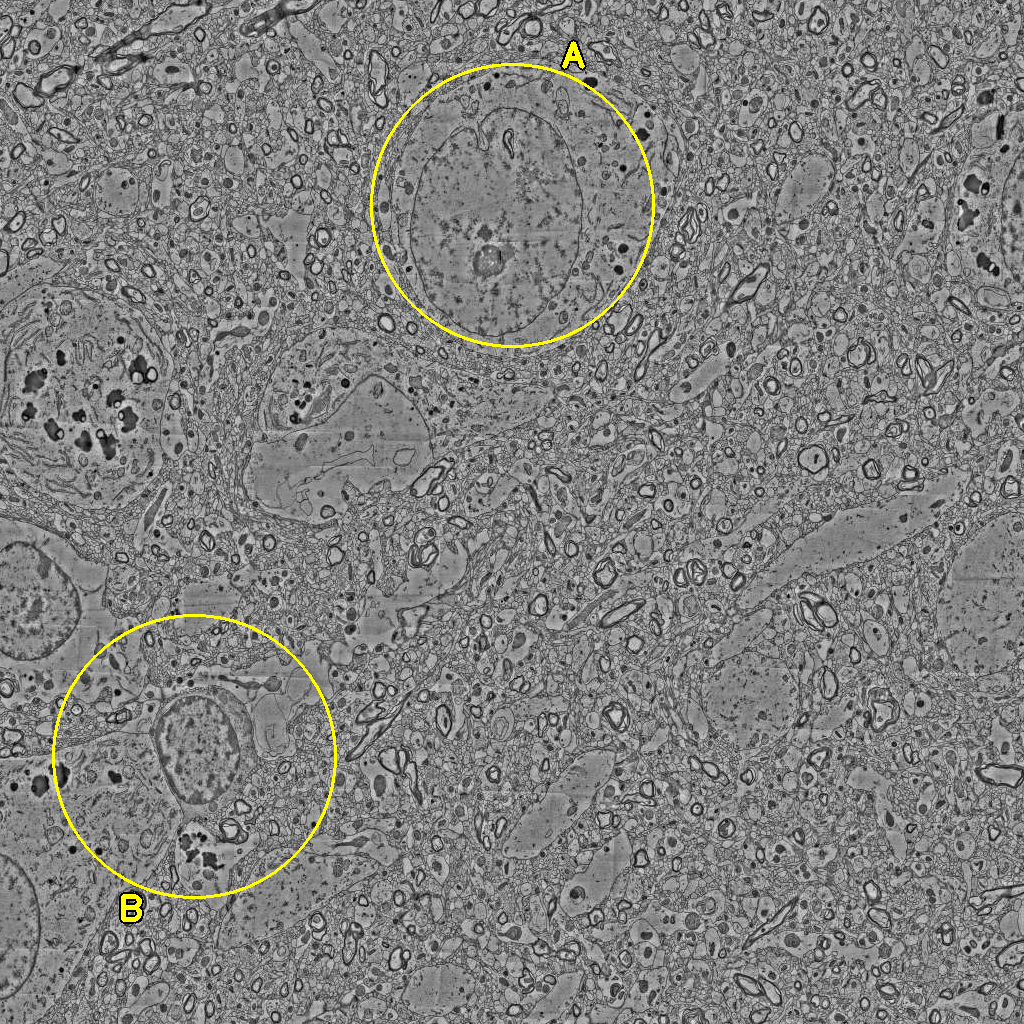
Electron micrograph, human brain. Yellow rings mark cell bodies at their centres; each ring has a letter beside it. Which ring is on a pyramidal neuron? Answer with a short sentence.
Ring A is centred on it.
